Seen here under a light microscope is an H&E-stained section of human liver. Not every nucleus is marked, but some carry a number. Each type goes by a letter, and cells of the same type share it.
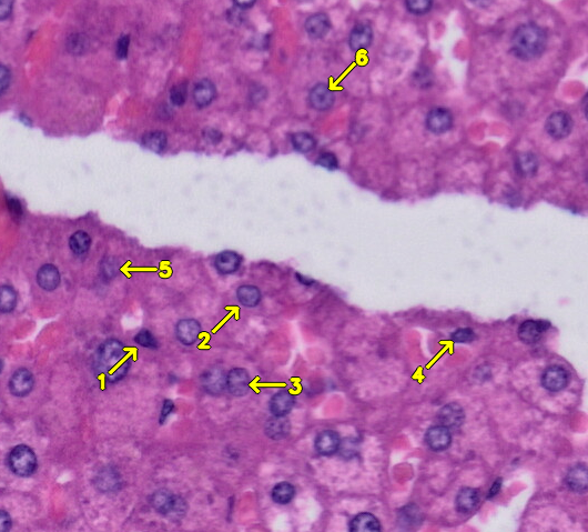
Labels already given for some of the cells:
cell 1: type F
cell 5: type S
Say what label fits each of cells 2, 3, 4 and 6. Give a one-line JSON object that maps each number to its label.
{"2": "type S", "3": "type S", "4": "type F", "6": "type S"}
